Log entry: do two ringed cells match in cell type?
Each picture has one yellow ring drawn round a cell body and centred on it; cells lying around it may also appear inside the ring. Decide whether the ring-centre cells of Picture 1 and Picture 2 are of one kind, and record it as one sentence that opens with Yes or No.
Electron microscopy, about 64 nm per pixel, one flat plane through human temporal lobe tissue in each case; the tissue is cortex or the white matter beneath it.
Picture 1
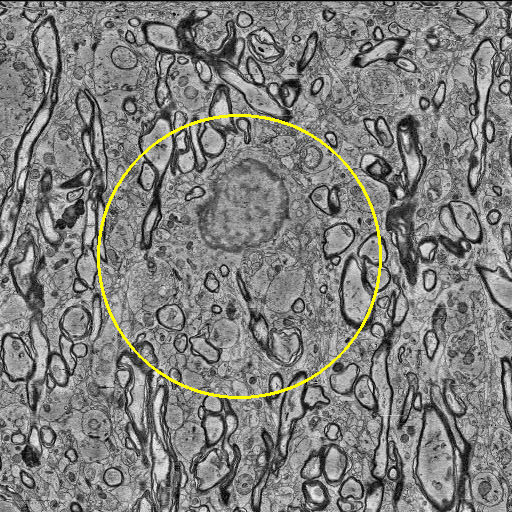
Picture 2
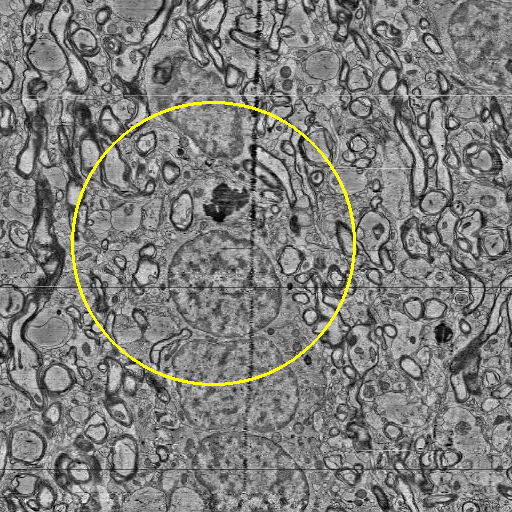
Yes, the cells at the ring centres of the two pictures belong to one kind.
